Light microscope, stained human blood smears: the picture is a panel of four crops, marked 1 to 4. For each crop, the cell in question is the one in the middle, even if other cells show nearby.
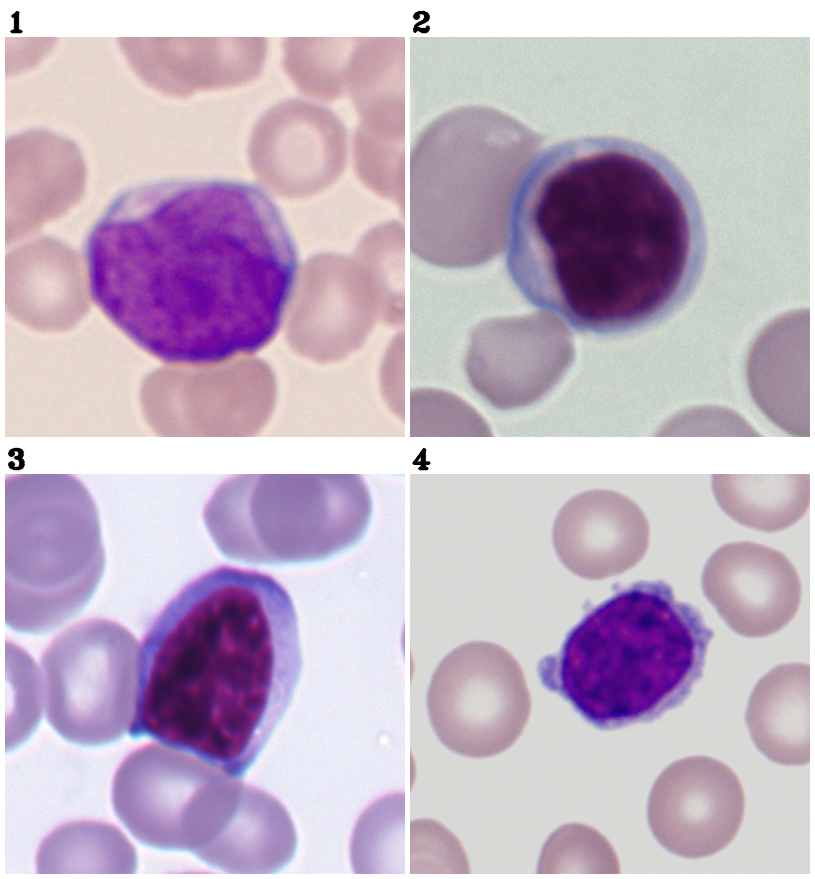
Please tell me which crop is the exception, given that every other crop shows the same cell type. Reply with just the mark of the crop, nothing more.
1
